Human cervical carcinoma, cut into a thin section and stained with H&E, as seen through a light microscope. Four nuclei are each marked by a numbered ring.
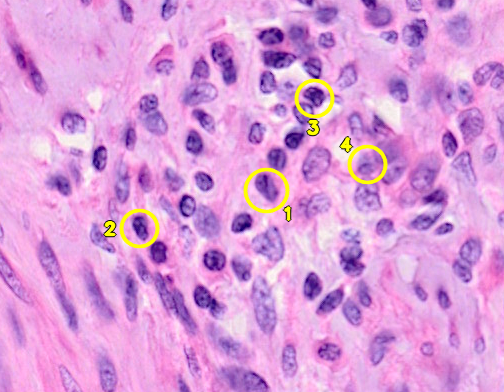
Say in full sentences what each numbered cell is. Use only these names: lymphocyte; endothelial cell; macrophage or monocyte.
Cell 1 is a lymphocyte, cell 2 is a lymphocyte, cell 3 is a lymphocyte and cell 4 is an endothelial cell.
